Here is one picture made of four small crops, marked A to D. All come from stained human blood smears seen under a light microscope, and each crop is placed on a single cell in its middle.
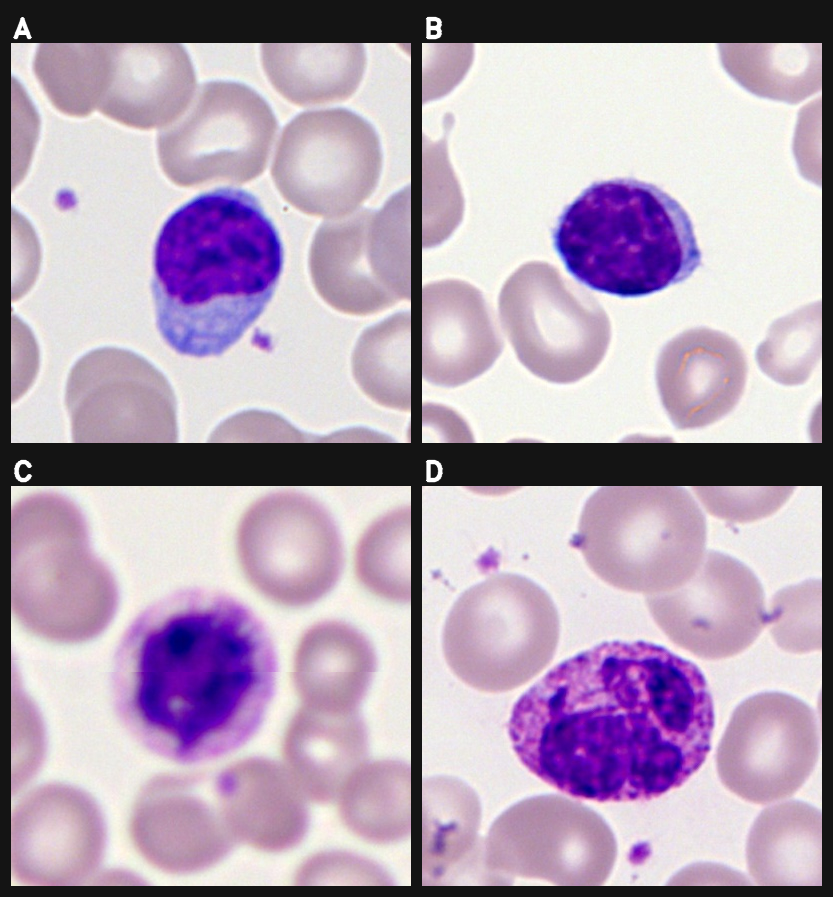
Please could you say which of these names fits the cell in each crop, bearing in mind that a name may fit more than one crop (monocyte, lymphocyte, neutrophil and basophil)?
A: lymphocyte
B: lymphocyte
C: basophil
D: basophil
